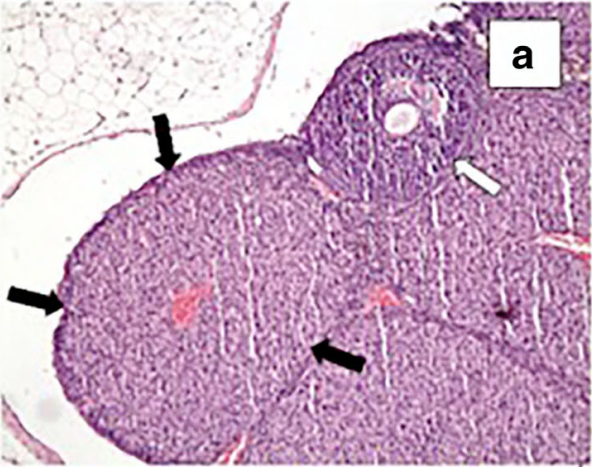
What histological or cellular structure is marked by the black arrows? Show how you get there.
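Corpus luteum. The black arrows point to a large, solid, rounded body of densely packed cells. The body has no central cavity or oocyte. It bulges from the surface of the organ.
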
